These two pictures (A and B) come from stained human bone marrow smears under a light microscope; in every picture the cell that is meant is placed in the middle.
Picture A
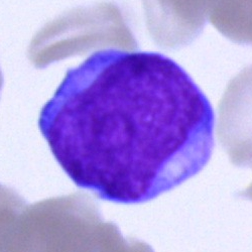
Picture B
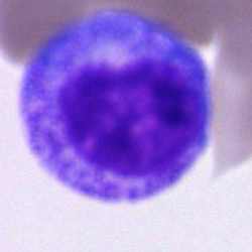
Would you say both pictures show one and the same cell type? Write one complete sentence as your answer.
No; the cell in picture A is a blast, while the one in picture B is a promyelocyte.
